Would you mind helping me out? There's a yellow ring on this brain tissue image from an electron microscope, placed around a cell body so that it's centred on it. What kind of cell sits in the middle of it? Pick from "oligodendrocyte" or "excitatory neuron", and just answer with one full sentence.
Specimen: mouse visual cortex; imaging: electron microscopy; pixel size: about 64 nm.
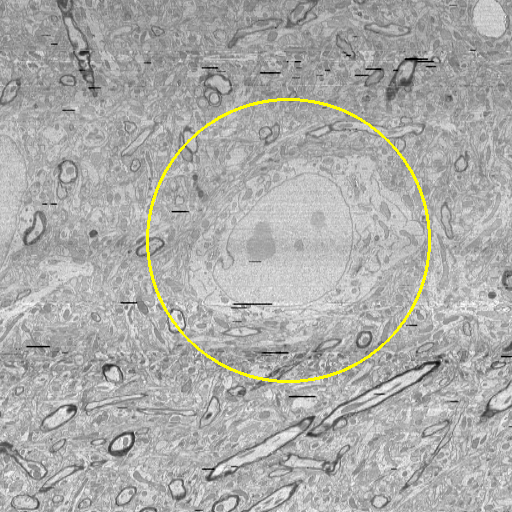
What sits in the middle of that yellow ring is an excitatory neuron, from your choices.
